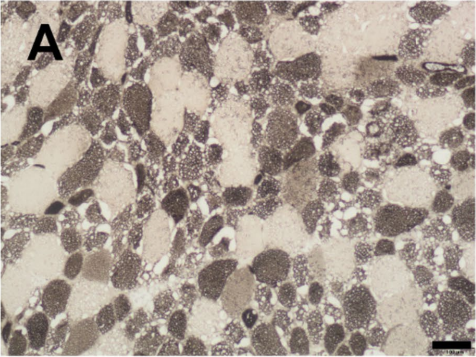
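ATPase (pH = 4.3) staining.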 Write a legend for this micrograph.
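This is a cross-section of skeletal muscle with dark grey-black and pale fibers interspersed in a mosaic pattern. The fibers are rounded to polygonal and vary considerably in diameter, some being small and darkly stained. Many dark fibers contain numerous small clear round holes that give them a speckled texture. The pale fibers are larger on average and comparatively smooth. Small round empty spaces and thin septa lie between the fibers.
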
